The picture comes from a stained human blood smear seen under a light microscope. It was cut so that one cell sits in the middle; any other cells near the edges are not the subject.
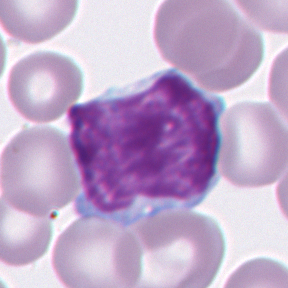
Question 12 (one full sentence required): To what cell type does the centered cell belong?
At the center of the crop sits a typical lymphocyte.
